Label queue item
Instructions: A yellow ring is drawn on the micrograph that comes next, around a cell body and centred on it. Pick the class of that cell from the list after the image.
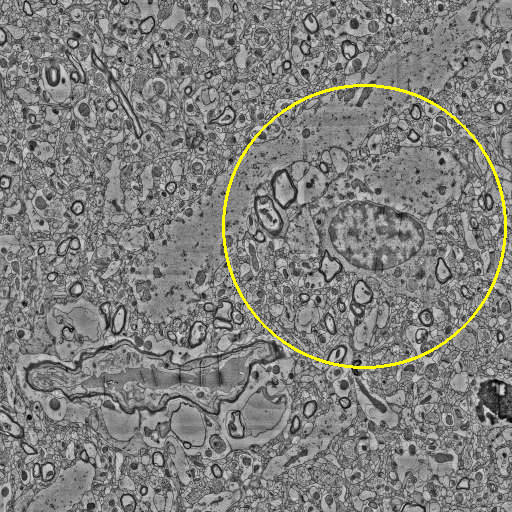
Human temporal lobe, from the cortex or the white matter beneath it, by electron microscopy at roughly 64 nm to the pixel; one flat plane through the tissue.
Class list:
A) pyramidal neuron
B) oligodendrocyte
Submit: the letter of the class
B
